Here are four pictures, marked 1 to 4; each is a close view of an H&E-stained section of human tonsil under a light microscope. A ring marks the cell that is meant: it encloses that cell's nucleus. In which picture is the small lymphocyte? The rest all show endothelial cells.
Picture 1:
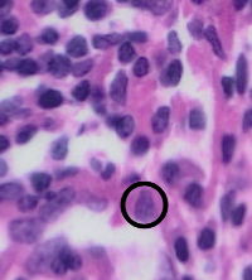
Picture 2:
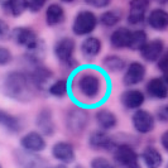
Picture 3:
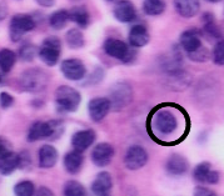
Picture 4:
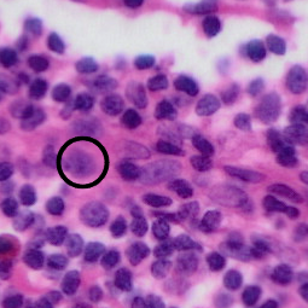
2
